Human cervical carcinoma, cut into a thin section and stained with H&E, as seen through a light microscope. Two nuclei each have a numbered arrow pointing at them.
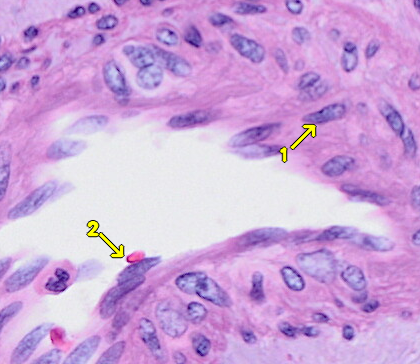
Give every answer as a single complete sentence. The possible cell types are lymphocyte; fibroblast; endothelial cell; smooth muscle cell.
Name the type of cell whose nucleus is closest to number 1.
The nucleus nearest to number 1 is that of a smooth muscle cell.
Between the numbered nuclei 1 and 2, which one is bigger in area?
The larger nucleus is 2, at roughly 1.5 times the area of 1.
